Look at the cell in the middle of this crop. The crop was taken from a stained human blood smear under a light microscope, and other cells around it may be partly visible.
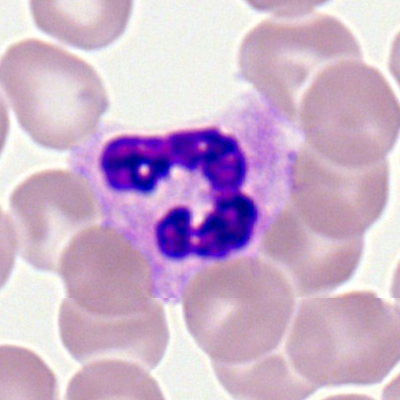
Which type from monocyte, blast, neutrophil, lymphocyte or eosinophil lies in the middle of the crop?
neutrophil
